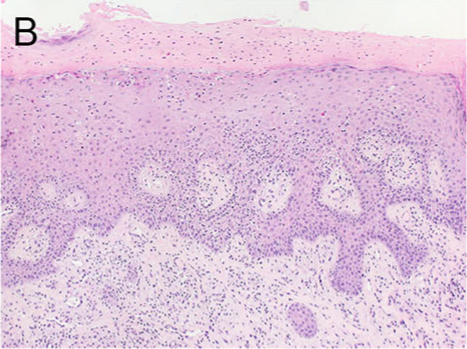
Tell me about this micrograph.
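This section shows thickened squamous epithelium with a broad pink cornified layer on the surface and elongated, irregular rete ridges reaching down into the dermis. Along the junction between epidermis and dermis lies a dense band of small dark round lymphocyte nuclei, and such cells also gather around small vessels in the dermal papillae and upper dermis. Some lymphocytes lie within the basal part of the epithelium. The dermis below is pale and loose, with scattered spindle cells and vessels.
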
